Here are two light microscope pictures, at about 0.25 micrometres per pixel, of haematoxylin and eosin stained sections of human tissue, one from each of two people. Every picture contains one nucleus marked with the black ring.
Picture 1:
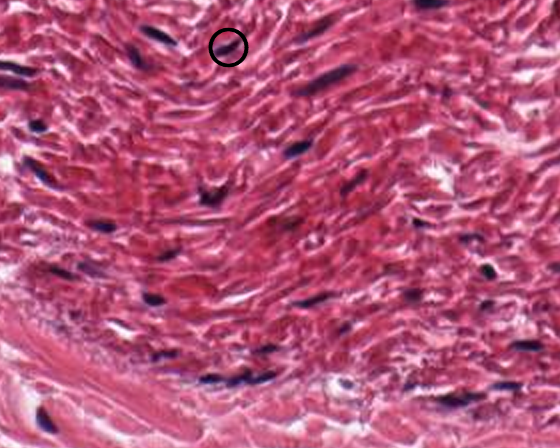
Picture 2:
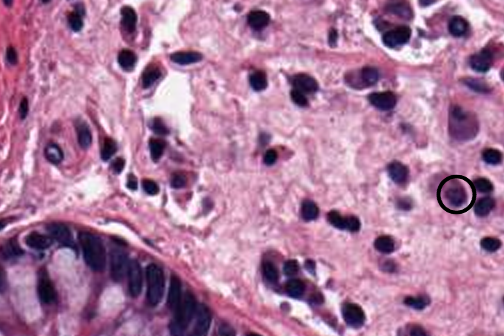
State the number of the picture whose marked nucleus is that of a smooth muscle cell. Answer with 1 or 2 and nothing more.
1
